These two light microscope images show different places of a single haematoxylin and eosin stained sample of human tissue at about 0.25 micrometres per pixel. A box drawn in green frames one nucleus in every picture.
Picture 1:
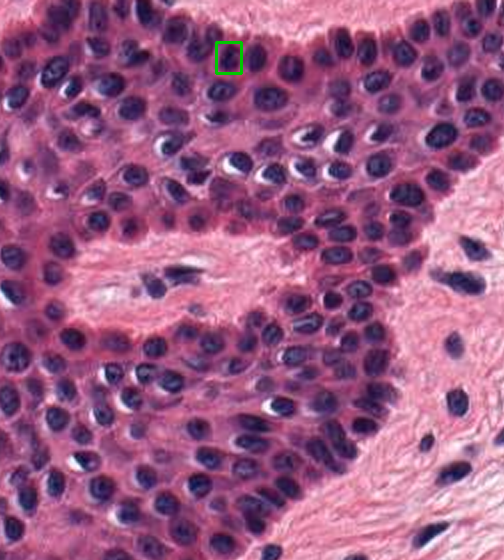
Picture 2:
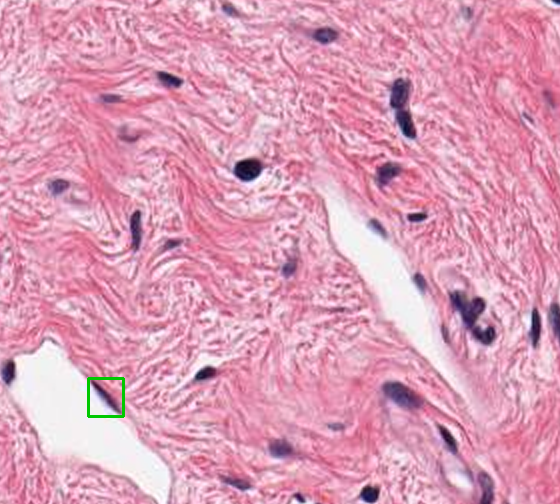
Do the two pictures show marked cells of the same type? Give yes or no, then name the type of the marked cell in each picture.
No, the first is a squamous epithelial cell and the second an endothelial cell.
